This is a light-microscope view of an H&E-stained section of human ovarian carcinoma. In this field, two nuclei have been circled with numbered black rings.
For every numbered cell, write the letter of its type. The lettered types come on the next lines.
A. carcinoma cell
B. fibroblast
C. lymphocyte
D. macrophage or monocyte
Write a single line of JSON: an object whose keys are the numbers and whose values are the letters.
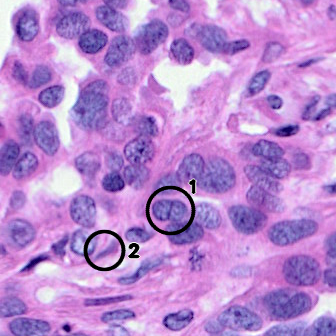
{"1": "A", "2": "B"}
